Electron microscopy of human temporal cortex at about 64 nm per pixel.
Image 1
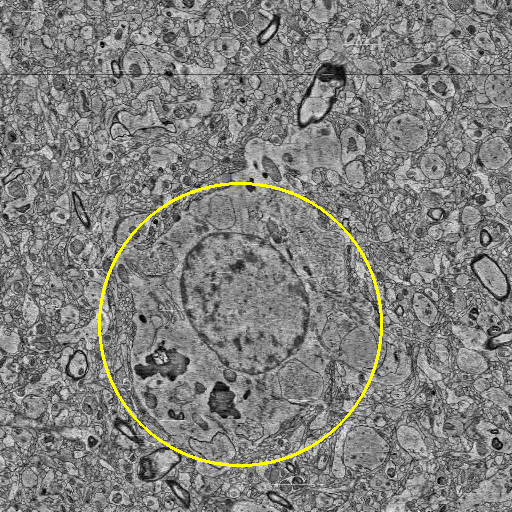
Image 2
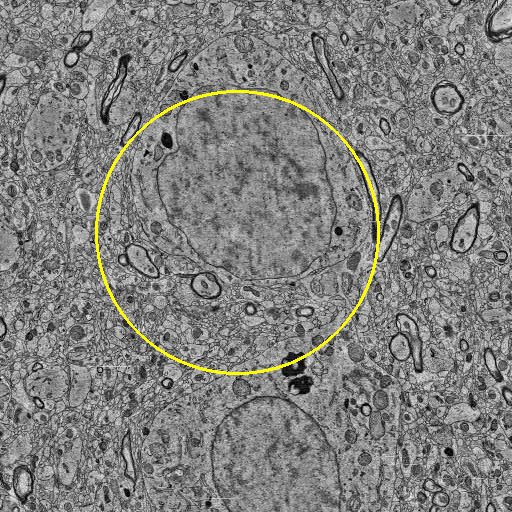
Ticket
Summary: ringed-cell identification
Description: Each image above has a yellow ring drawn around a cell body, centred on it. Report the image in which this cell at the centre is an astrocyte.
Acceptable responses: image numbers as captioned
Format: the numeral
1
